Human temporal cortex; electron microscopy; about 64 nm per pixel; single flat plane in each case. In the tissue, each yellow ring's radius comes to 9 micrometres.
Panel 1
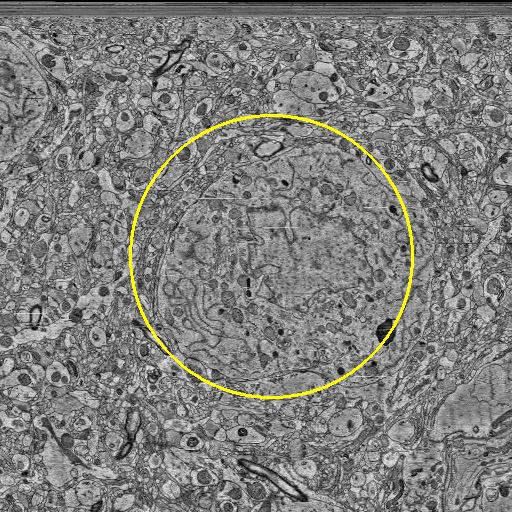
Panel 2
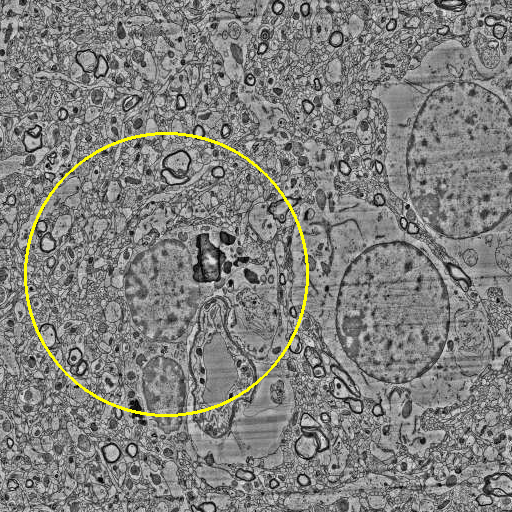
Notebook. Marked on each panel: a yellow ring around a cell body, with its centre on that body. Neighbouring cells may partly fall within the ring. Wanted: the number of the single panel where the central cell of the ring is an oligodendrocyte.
2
